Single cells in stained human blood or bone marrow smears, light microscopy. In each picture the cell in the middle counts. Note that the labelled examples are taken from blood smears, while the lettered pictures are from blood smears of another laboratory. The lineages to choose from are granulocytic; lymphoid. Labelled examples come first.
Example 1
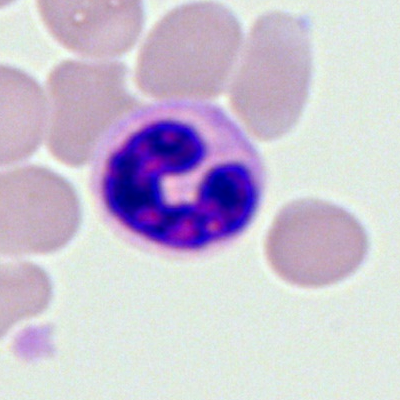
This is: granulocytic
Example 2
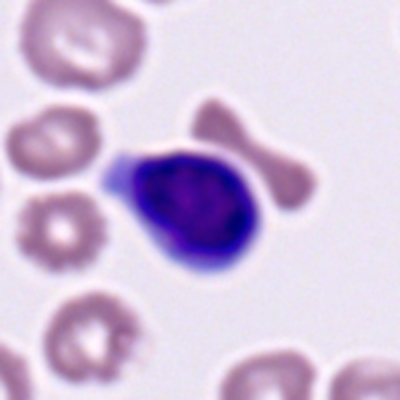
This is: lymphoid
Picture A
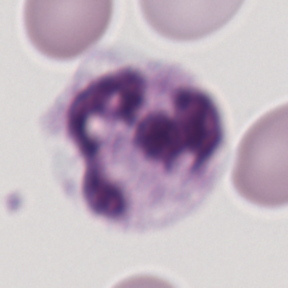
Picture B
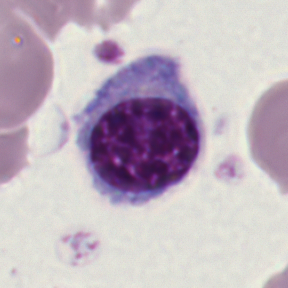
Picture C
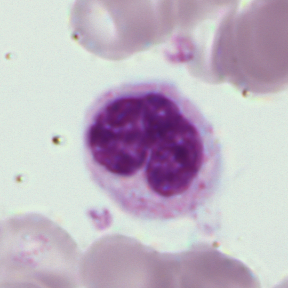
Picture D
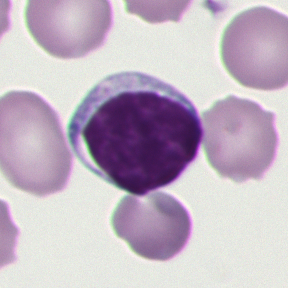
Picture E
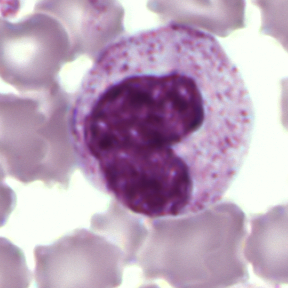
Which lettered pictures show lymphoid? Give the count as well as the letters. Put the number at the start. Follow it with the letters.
2: B, D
